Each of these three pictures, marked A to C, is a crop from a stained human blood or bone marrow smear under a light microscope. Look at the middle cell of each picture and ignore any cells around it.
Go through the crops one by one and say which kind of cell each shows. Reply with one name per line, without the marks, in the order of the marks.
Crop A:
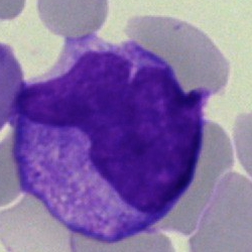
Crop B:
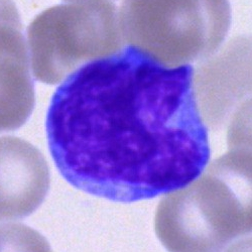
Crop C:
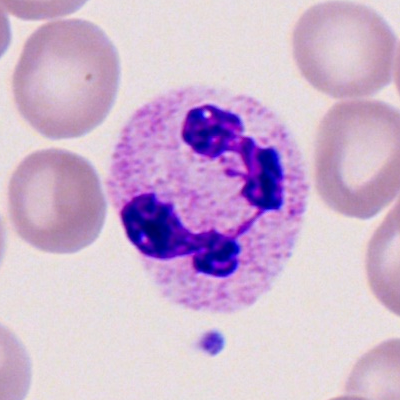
monocyte
monocyte
segmented neutrophil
